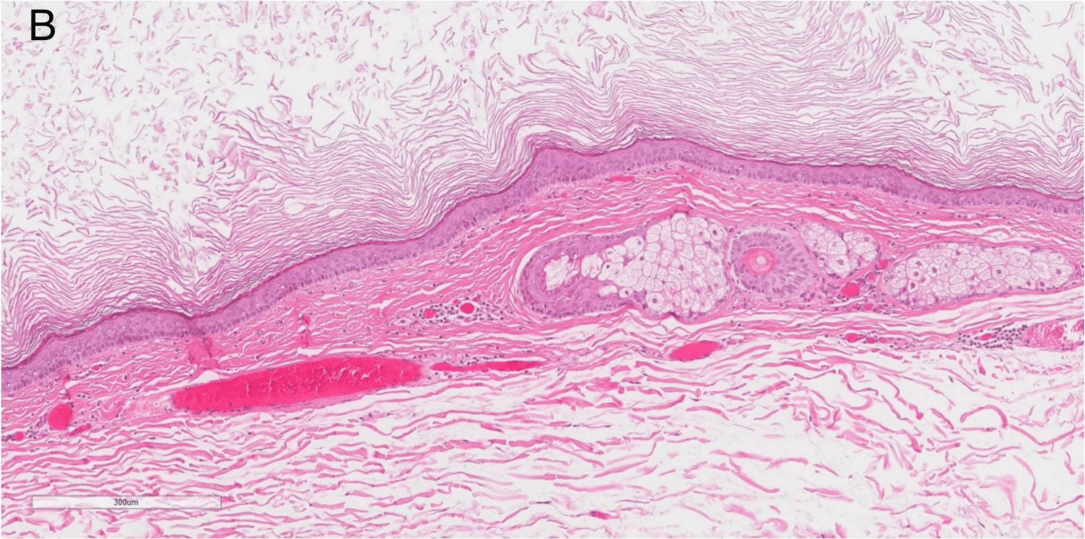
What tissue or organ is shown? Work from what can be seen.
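Above it lie laminated layers of anucleate pink keratin. The basal layer sits on pink collagenous stroma.
Hence: keratinizing stratified squamous epithelium.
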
